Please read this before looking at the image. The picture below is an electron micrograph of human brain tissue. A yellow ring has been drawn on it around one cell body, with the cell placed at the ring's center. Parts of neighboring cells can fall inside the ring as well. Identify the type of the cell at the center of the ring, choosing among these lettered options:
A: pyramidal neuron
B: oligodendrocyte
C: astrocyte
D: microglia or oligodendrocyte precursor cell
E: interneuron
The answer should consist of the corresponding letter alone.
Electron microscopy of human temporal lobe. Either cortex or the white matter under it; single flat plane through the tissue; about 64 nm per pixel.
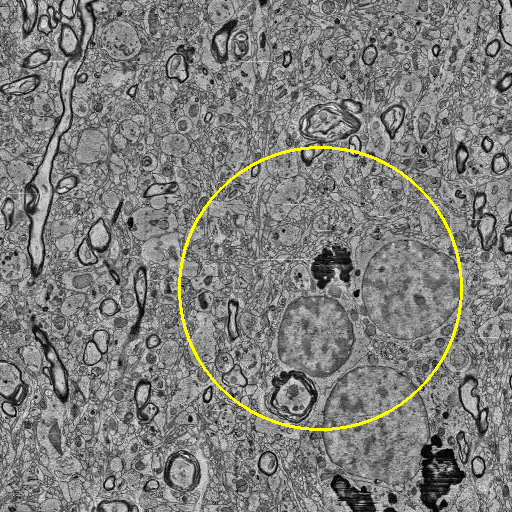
B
